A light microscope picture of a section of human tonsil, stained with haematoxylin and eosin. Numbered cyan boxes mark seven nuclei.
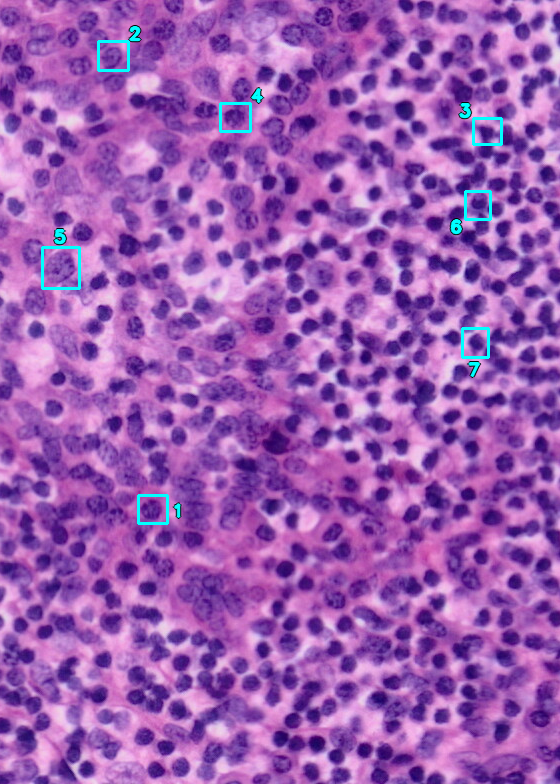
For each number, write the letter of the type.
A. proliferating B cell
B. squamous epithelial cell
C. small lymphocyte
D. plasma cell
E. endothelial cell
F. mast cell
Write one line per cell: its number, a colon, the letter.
1: D
2: D
3: C
4: D
5: B
6: C
7: C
